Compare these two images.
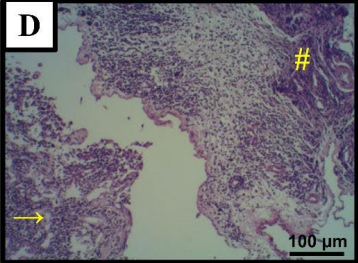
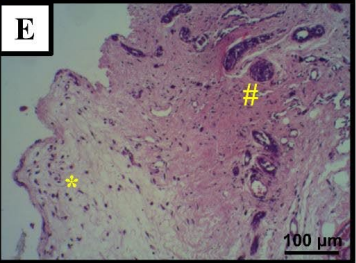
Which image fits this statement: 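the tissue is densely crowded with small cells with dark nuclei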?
the first image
